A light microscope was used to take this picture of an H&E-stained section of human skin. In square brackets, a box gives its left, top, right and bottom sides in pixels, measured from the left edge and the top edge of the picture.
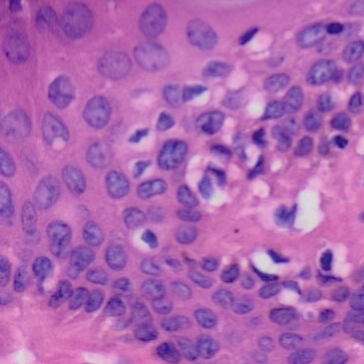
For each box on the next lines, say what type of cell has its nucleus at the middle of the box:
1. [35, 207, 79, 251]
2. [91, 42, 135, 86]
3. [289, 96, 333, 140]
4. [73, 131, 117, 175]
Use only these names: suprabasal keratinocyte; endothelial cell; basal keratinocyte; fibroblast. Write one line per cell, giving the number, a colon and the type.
1: suprabasal keratinocyte
2: suprabasal keratinocyte
3: basal keratinocyte
4: suprabasal keratinocyte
